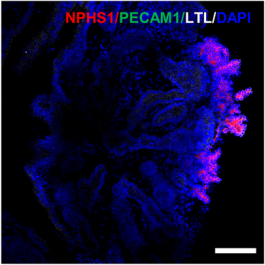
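Here part of a large, spread-out kidney organoid is seen by fluorescence, dominated by blue nuclei in a sheet of densely packed cells. Within it run faint, elongated tubular profiles radiating toward the right edge, with only weak white label. Along the right-hand margin, bright red-pink clusters of cells line up in a row, the podocyte groups of the organoid, sitting at the tissue's edge. Green label is essentially absent.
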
